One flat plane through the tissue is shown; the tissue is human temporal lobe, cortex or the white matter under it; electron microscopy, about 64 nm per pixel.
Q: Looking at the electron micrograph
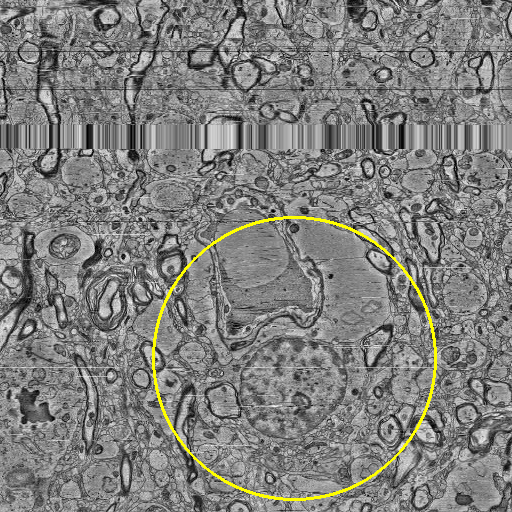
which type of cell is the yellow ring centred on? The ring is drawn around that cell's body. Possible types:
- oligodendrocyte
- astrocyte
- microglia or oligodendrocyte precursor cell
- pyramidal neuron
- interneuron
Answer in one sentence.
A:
The yellow ring is centred on an oligodendrocyte.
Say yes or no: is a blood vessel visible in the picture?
Yes, a blood vessel can be seen.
